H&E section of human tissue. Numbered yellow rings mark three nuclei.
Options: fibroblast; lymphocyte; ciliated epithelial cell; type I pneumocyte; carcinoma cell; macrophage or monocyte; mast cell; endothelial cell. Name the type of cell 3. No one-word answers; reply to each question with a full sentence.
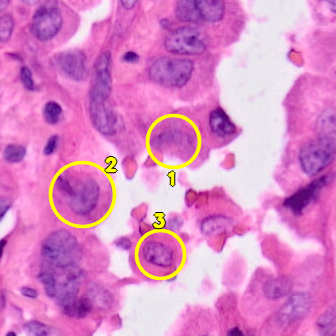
To a macrophage or monocyte belongs the nucleus marked 3.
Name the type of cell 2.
In this section, number 2 marks a carcinoma cell.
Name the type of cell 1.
Among the marked cells, number 1 is a carcinoma cell.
